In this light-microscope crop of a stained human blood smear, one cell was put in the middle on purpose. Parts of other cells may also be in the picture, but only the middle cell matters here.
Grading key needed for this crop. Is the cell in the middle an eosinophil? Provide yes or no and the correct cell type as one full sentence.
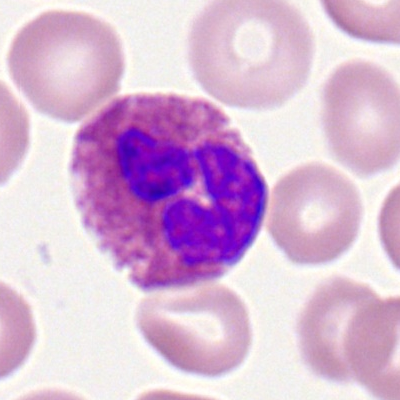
Yes, in this crop the cell in the middle is an eosinophil.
